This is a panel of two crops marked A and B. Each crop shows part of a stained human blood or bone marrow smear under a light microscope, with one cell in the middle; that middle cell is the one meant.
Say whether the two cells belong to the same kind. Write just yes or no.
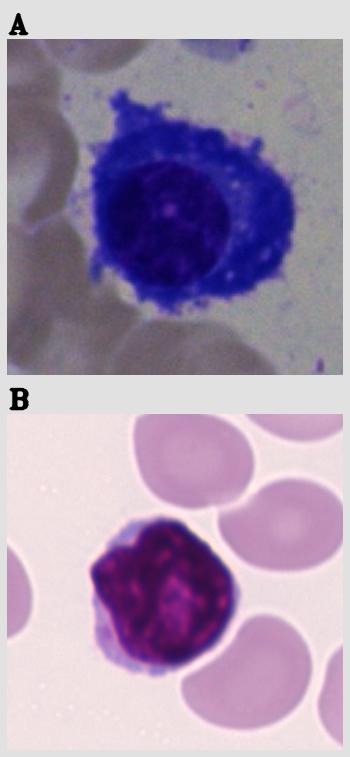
no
